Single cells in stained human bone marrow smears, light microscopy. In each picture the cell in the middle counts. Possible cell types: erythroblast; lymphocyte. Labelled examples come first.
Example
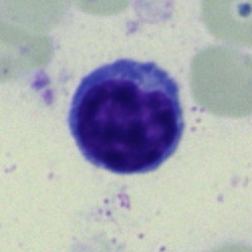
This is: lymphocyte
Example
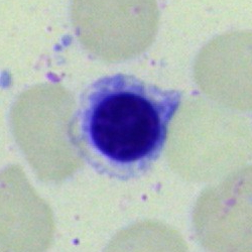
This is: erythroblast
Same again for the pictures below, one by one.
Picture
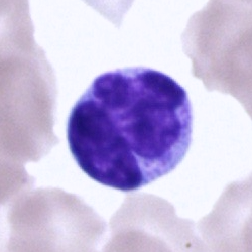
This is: lymphocyte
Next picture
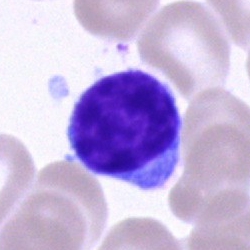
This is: lymphocyte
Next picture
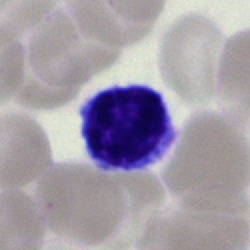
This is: lymphocyte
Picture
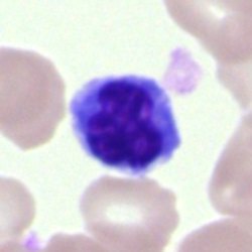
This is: erythroblast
